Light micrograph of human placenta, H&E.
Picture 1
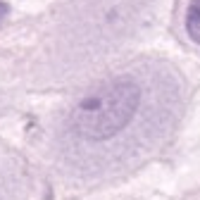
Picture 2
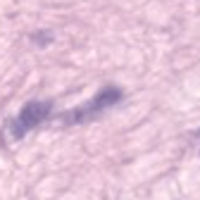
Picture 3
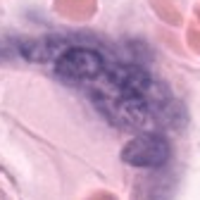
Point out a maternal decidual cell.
That is picture 1.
